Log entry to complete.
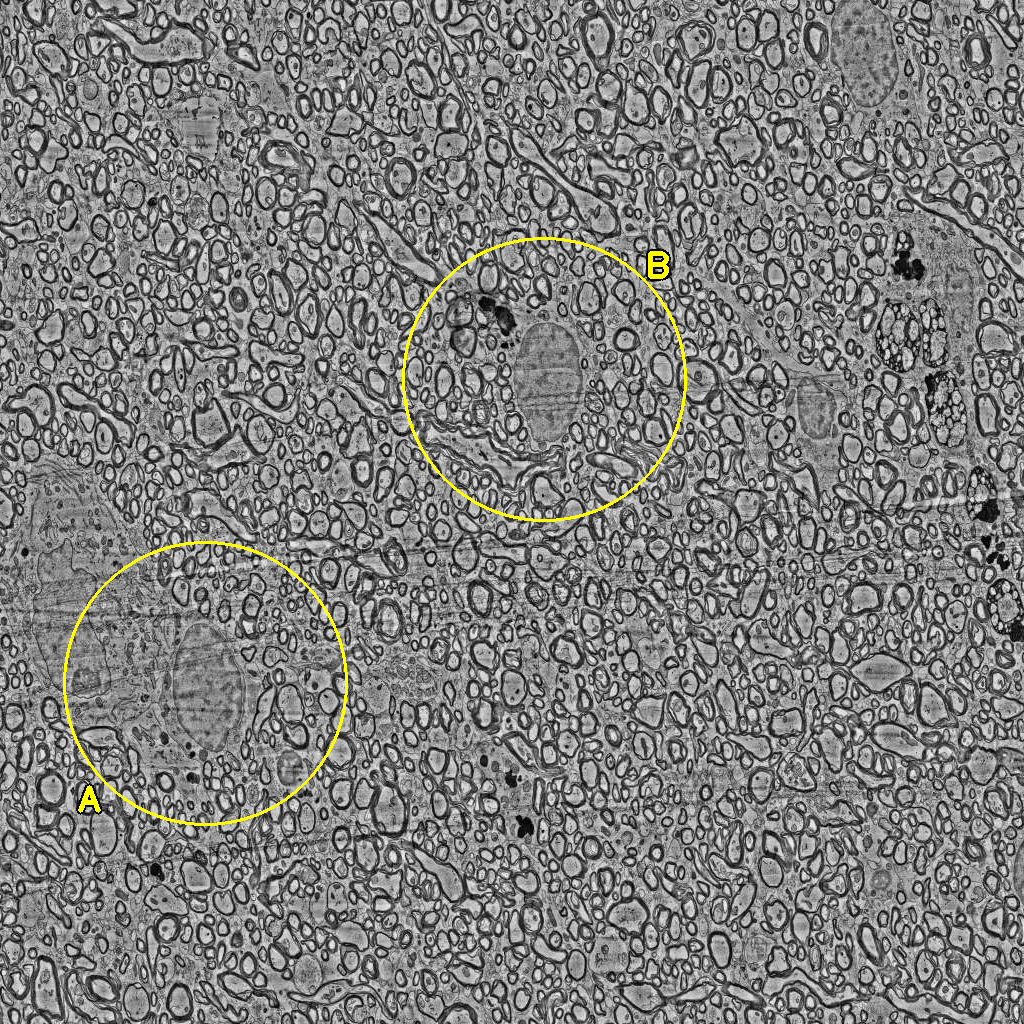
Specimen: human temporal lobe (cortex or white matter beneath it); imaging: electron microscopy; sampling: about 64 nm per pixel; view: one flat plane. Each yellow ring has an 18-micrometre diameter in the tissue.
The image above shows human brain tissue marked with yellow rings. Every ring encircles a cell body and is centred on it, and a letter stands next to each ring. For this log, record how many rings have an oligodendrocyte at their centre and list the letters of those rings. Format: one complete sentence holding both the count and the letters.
As for the rings with the letters A and B, there are two, each centred on an oligodendrocyte.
